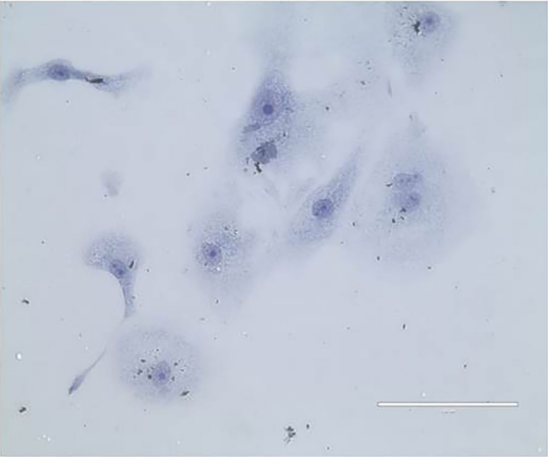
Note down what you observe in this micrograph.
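The cells are large, with abundant pale blue, finely granular cytoplasm, and range from polygonal to spindle-shaped with tapering extensions. The cells lie separately rather than in cohesive sheets, with small dark specks of debris on the background.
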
